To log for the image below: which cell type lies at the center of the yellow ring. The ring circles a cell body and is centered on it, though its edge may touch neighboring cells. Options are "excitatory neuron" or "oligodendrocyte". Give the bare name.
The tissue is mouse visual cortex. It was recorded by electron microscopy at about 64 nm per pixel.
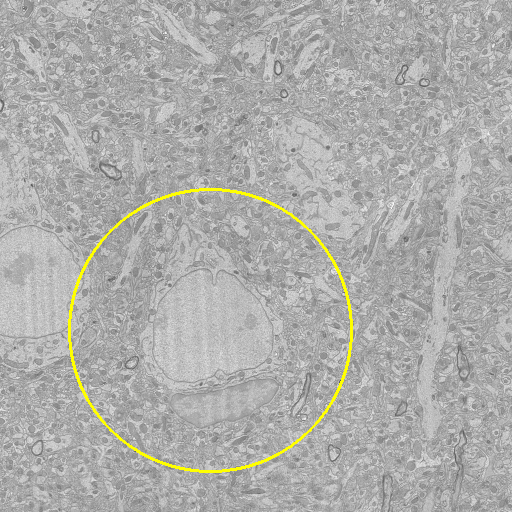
excitatory neuron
